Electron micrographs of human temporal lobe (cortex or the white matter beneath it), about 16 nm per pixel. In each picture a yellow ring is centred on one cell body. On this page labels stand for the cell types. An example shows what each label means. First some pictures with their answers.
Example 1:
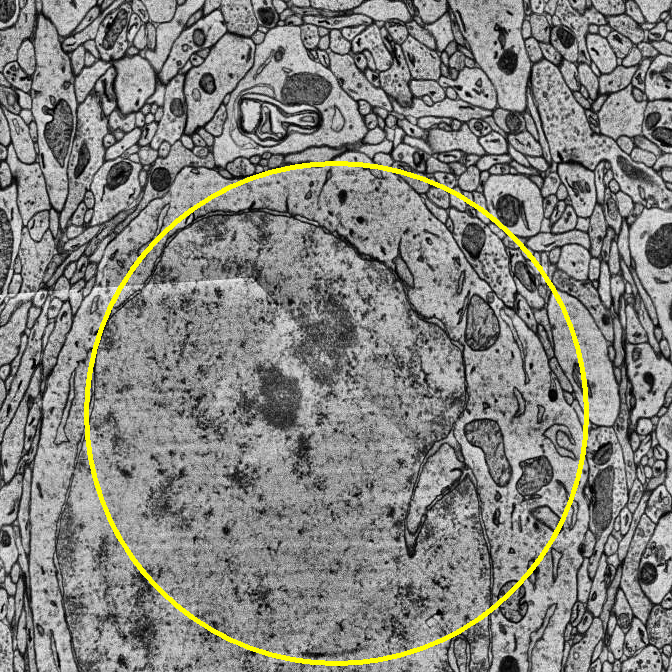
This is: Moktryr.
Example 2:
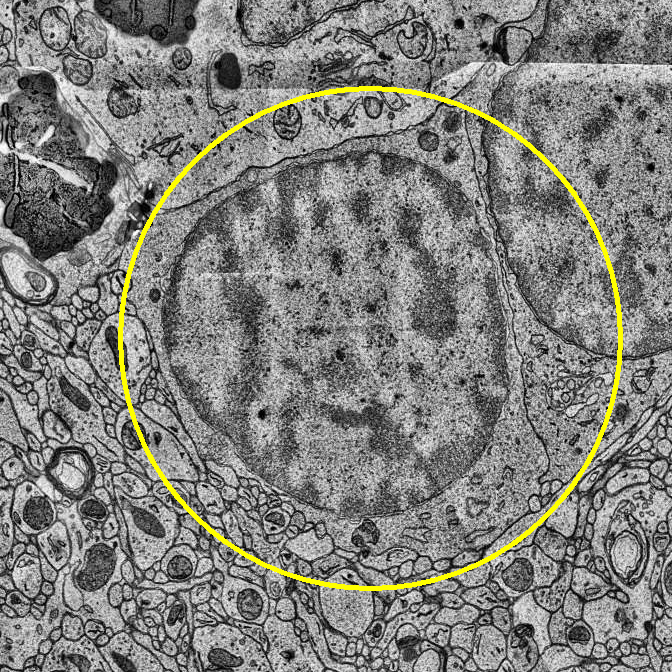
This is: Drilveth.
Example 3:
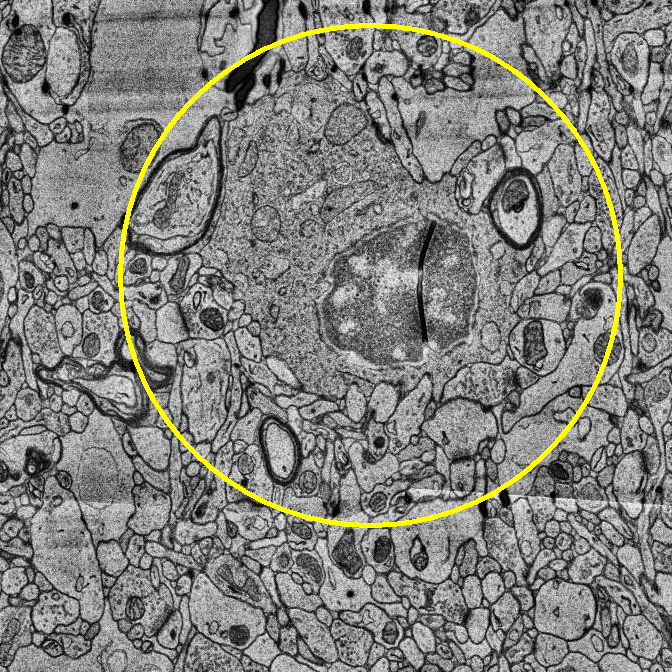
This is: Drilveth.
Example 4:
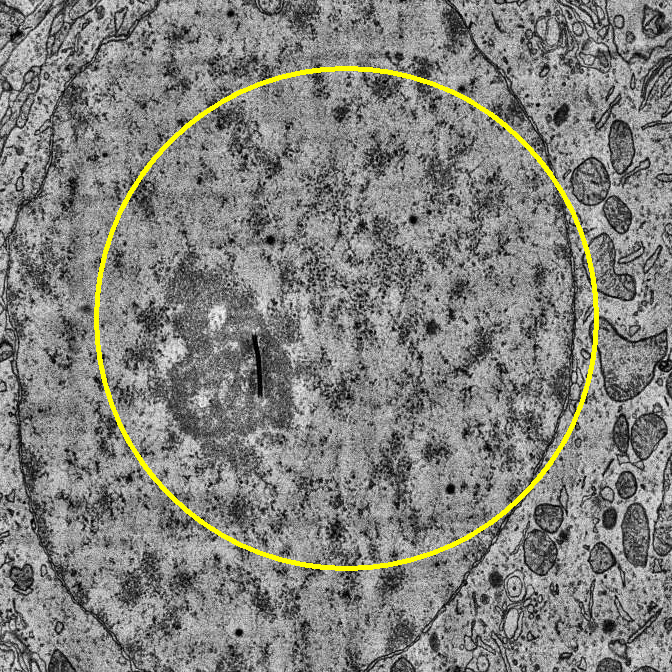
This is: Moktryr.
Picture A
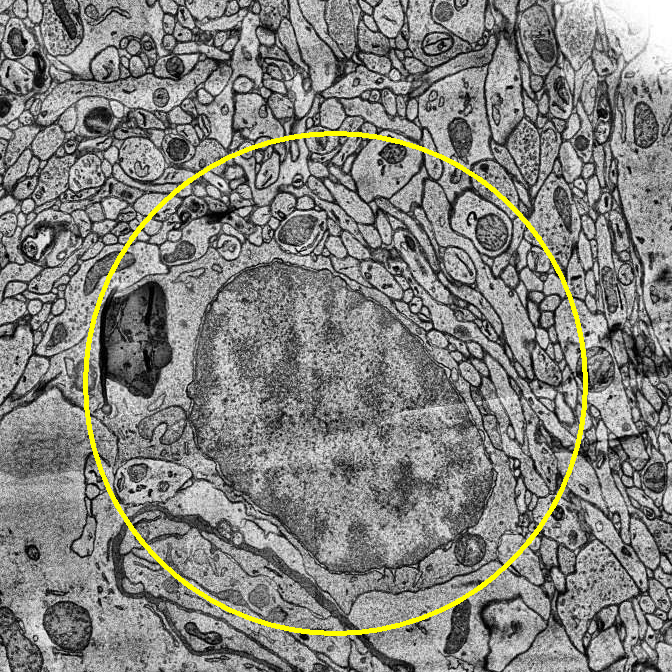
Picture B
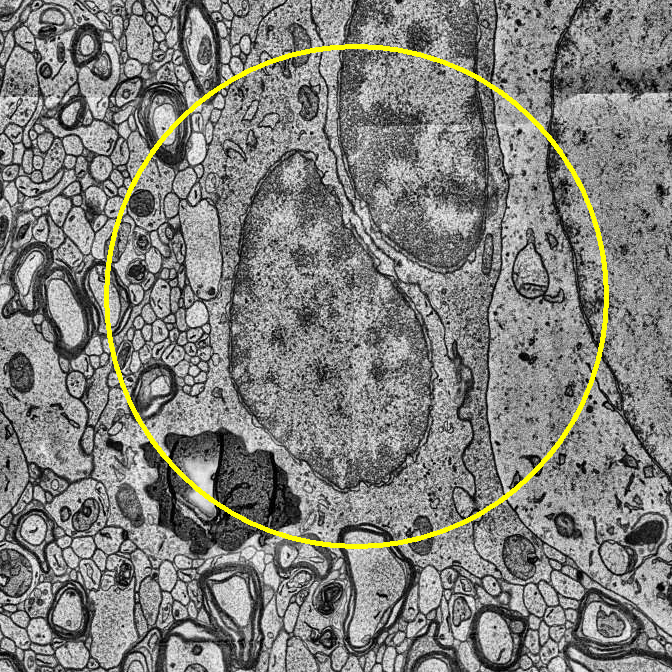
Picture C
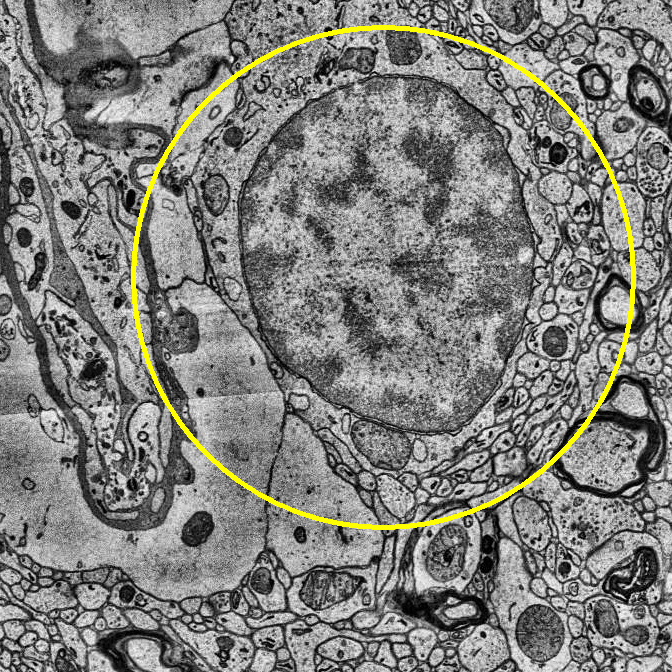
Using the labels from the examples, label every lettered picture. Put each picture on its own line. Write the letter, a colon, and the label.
A: Drilveth.
B: Drilveth.
C: Drilveth.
